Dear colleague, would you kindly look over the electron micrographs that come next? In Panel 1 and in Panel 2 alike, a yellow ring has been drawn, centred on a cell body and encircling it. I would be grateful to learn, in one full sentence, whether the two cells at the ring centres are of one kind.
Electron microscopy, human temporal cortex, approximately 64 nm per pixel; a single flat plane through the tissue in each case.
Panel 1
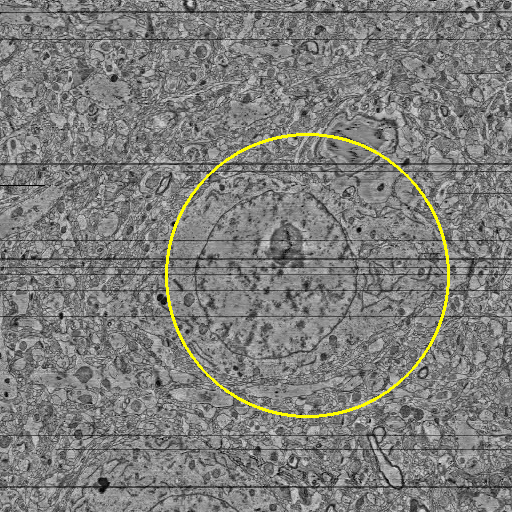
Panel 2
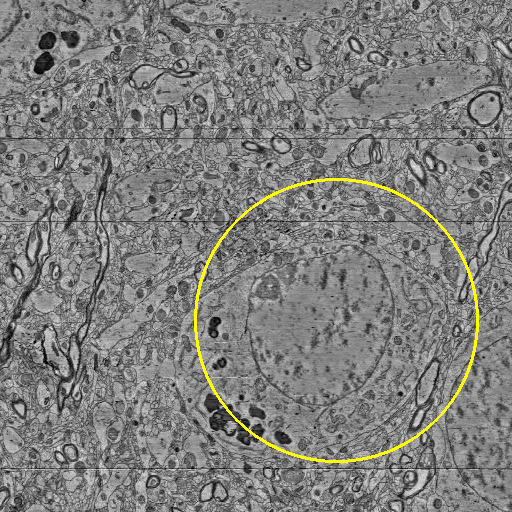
Yes, the cells in the middle of the rings in the two panels are of one kind.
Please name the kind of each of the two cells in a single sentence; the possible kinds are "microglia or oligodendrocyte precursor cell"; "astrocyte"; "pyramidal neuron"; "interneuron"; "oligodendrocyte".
In each of the two pictures, the ringed cell is a pyramidal neuron.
